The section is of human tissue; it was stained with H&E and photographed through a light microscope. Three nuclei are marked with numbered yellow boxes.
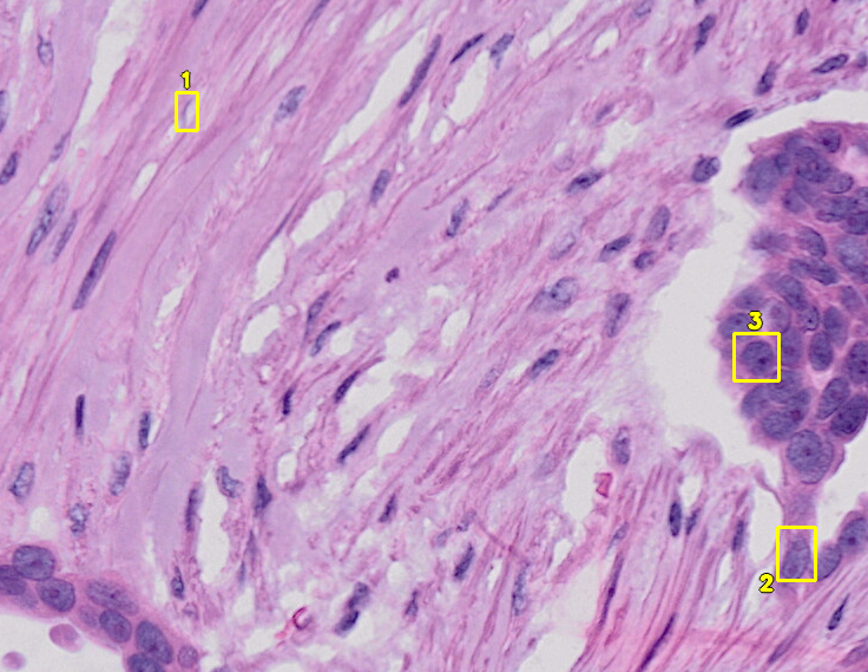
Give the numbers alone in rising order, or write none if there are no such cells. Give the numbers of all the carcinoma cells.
2, 3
